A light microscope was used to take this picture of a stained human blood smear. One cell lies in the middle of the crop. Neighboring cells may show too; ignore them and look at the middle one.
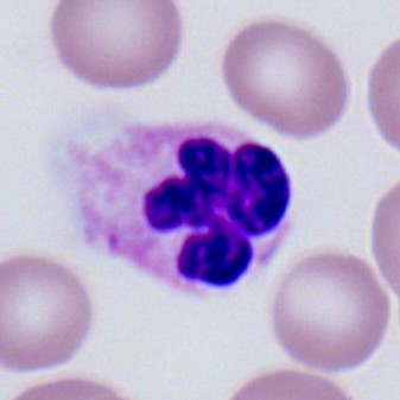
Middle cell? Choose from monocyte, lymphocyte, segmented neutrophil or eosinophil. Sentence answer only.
Whatever else lies nearby, the middle cell is a segmented neutrophil.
